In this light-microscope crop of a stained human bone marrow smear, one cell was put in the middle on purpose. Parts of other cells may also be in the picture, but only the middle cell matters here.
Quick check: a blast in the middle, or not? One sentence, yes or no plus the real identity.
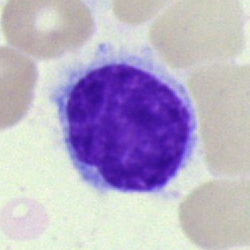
No, the cell in the middle is recognised as a hairy cell rather than a blast.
